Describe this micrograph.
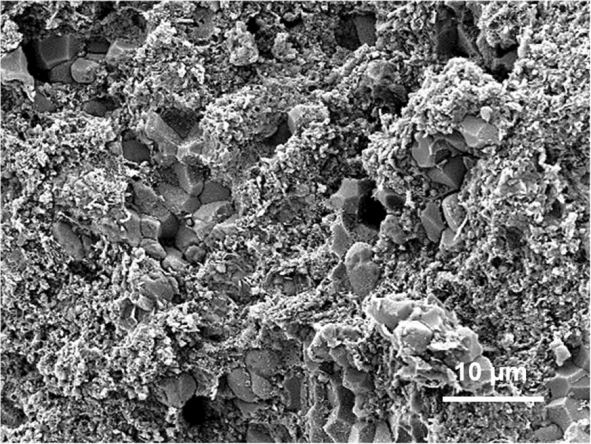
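Many cells have flat faces and sharp, angular edges and are packed tightly against one another in clusters. These clusters are embedded in a rough, granular material that fills the spaces between them. Only a few small gaps or holes are left in the mass, giving the whole a dense, compact appearance.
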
